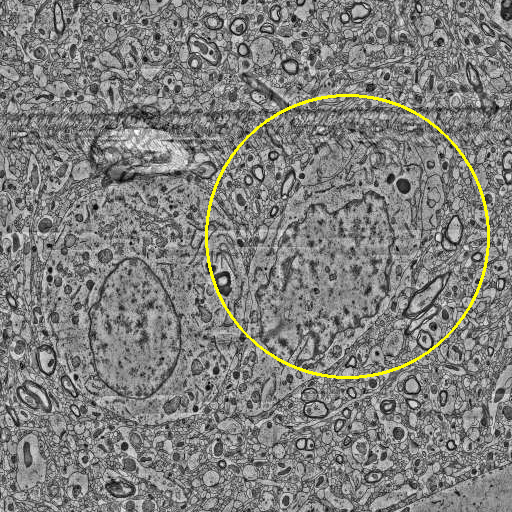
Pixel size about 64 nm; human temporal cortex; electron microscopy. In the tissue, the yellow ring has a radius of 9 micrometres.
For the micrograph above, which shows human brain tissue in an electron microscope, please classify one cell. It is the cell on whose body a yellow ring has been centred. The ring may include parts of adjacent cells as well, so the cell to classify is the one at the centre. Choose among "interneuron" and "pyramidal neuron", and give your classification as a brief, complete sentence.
I classify this cell as an interneuron.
